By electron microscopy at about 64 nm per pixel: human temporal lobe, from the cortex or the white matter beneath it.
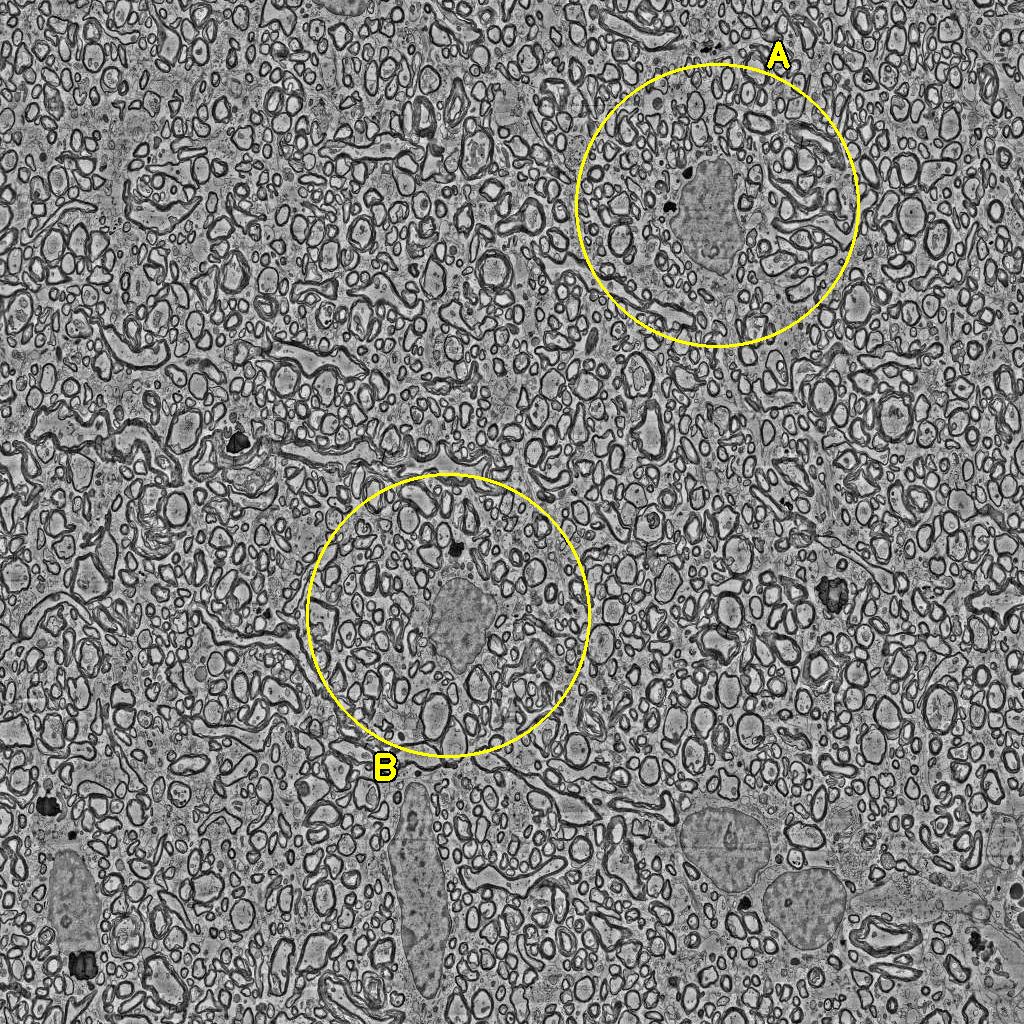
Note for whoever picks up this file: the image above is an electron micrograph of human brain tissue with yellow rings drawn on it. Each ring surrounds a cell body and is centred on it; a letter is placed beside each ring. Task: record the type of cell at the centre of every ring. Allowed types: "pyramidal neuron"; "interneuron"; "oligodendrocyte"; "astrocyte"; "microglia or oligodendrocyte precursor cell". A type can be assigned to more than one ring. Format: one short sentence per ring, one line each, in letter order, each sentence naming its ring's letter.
The ring marked A is centred on an oligodendrocyte.
The ring marked B is centred on an oligodendrocyte.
